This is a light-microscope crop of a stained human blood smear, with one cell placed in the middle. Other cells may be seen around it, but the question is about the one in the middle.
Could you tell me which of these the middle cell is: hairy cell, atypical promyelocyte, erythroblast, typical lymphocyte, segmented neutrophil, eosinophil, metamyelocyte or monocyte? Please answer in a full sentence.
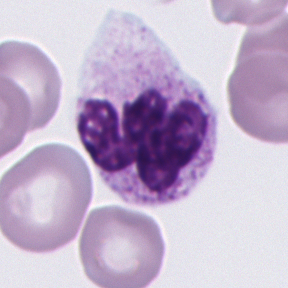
In the middle of this smear crop, the cell is a segmented neutrophil.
